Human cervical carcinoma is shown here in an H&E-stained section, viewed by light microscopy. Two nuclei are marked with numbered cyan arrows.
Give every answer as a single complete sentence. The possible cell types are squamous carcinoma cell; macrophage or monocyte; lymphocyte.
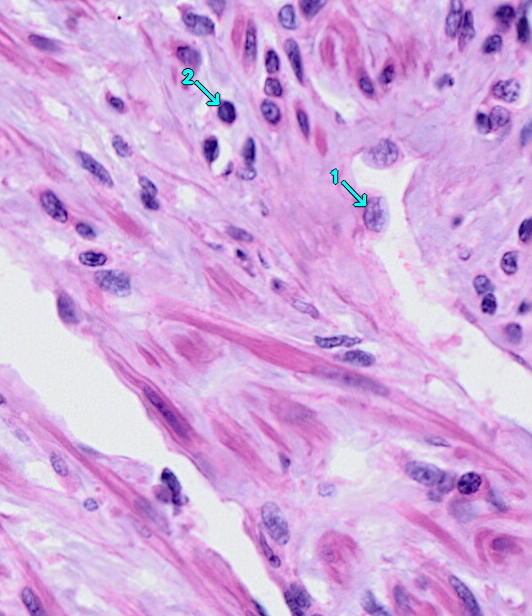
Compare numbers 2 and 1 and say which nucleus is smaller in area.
The smaller nucleus is 2, and 1 covers roughly 1.5 times its area.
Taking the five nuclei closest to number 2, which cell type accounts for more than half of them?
Around number 2, most of the five nearest nuclei are those of macrophages or monocytes.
